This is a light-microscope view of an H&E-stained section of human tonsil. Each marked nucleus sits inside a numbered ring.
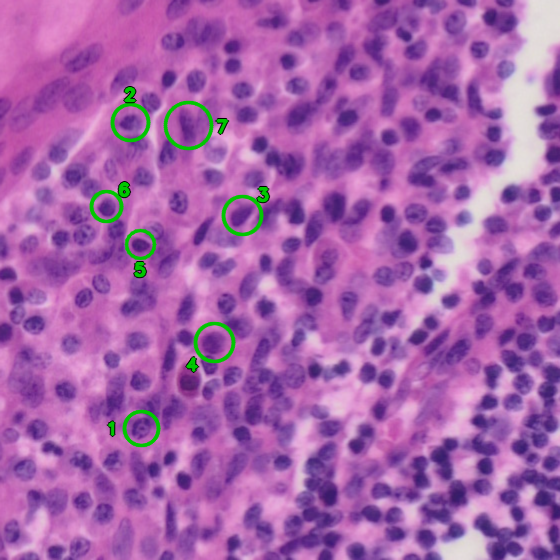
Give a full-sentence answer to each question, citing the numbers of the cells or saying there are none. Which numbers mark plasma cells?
On this slide, the cells numbered 1, 2, 5 and 6 are plasma cells.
